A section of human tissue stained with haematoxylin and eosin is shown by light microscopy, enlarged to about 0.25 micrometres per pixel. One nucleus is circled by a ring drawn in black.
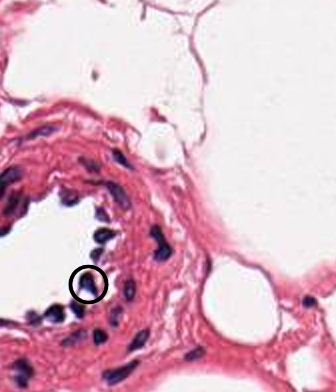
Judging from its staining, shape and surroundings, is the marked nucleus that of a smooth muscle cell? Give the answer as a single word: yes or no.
no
